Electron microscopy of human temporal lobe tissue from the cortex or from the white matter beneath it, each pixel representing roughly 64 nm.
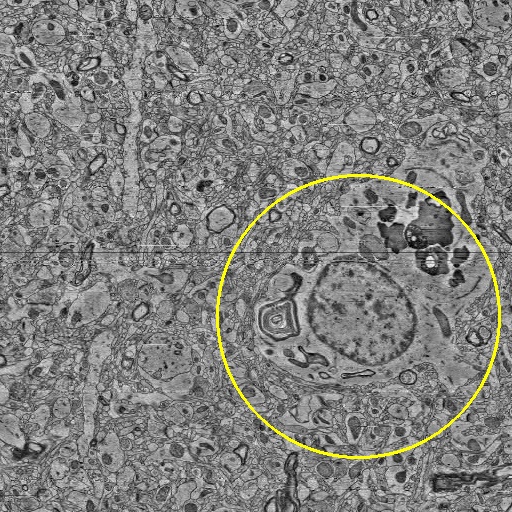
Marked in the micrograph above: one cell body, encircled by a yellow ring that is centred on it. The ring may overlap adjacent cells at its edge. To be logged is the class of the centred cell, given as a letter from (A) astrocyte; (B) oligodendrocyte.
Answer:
A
